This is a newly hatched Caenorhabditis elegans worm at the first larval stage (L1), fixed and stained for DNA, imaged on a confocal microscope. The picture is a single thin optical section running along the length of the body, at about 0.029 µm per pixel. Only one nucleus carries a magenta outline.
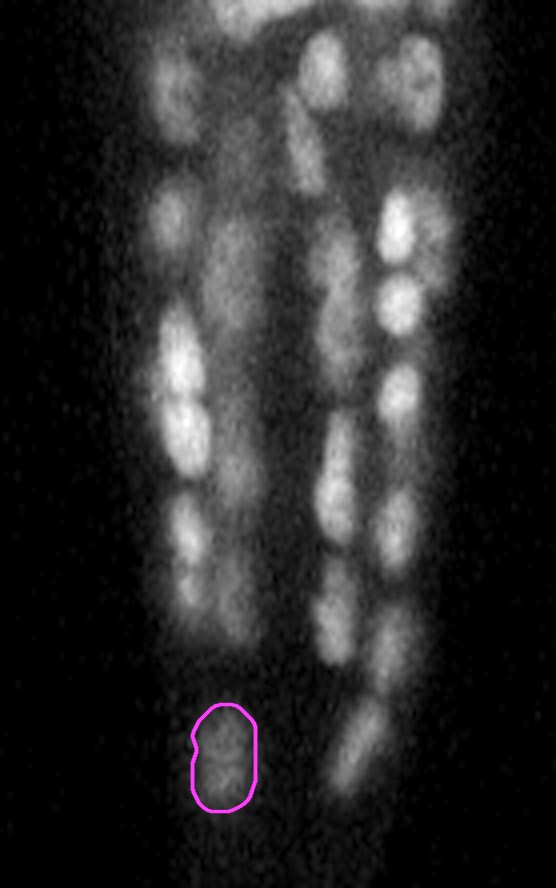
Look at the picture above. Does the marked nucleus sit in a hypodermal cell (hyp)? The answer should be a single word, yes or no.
yes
